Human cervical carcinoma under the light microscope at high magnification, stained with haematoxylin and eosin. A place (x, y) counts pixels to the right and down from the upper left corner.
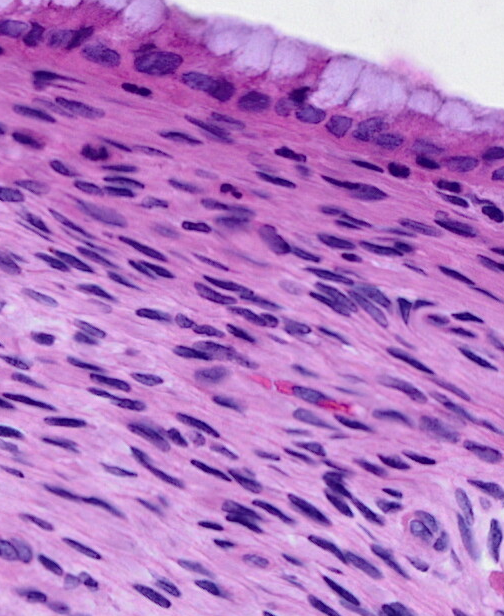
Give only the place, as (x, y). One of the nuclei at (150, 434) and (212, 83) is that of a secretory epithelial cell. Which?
(212, 83)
